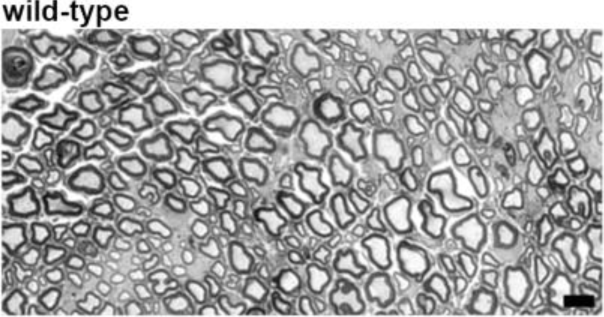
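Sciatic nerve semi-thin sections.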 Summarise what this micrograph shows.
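The axons range from small to large calibre and many have angular or irregular outlines. They are packed closely with little space between them, and a few lighter patches between the fibres lack dark rings.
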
